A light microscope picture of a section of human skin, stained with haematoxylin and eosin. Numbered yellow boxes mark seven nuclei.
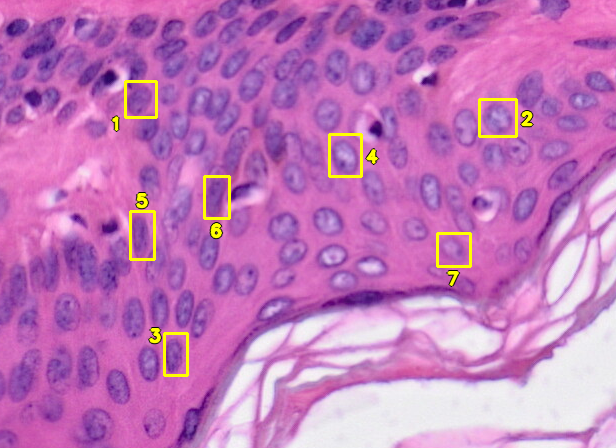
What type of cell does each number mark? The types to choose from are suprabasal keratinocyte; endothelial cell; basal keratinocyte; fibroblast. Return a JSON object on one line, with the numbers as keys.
{"1": "basal keratinocyte", "2": "basal keratinocyte", "3": "suprabasal keratinocyte", "4": "suprabasal keratinocyte", "5": "basal keratinocyte", "6": "basal keratinocyte", "7": "suprabasal keratinocyte"}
